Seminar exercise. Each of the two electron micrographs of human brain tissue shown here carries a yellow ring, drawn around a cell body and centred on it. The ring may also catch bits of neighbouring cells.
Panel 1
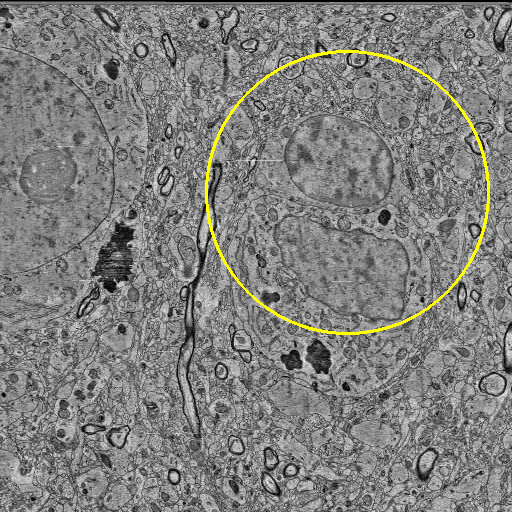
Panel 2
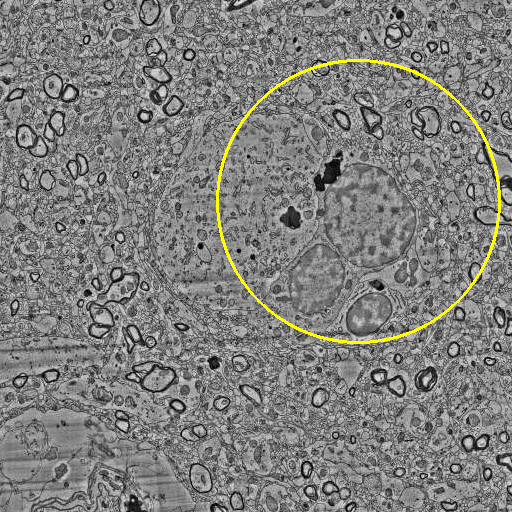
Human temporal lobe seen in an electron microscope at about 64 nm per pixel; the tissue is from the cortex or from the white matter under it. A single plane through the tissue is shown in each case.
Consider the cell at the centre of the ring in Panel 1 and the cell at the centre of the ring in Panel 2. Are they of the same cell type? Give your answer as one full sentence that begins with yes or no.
Yes, both cells are of the same type.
